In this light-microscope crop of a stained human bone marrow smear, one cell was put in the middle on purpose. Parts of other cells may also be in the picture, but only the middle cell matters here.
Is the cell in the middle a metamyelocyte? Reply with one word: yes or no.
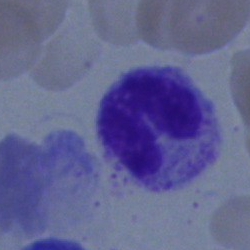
no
